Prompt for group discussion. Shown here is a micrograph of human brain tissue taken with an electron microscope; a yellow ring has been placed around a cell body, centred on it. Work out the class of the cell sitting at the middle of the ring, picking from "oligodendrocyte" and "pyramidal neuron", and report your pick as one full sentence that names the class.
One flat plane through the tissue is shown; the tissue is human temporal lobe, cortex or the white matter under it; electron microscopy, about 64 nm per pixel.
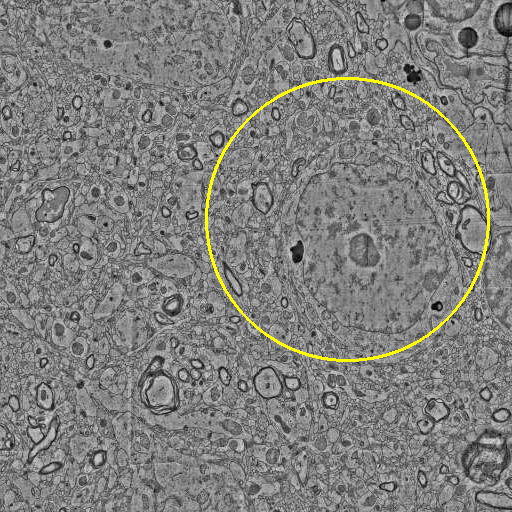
The cell sitting at the middle of the yellow ring is a pyramidal neuron.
